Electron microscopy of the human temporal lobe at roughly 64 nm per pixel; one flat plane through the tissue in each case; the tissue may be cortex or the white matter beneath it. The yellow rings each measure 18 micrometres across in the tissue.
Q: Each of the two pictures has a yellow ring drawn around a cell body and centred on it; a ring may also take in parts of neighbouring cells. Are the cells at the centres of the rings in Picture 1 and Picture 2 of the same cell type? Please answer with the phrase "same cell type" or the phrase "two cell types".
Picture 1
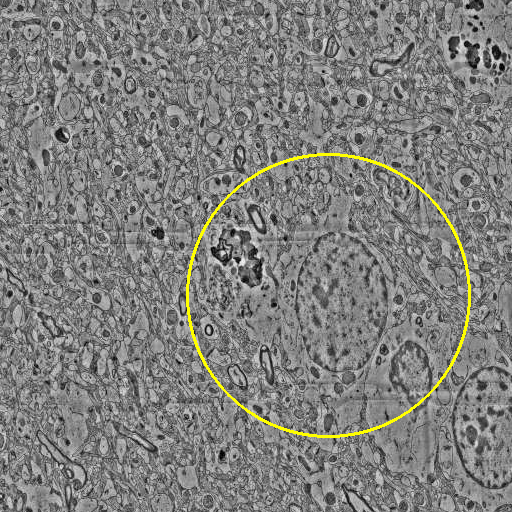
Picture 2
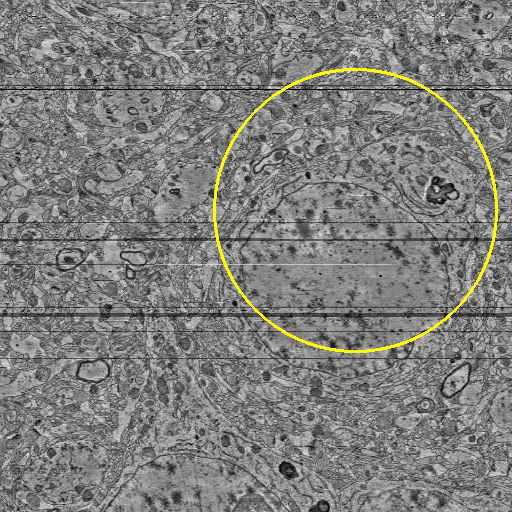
two cell types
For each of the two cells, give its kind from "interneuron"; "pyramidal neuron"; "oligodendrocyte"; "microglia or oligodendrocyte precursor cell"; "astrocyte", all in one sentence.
The first picture has an astrocyte in its ring, the second has a pyramidal neuron.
